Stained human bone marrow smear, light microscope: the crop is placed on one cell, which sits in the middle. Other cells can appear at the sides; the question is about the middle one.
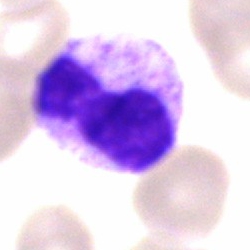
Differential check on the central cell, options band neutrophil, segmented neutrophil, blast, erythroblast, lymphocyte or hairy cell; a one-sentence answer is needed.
Classified as a segmented neutrophil is the cell in the middle of this crop.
